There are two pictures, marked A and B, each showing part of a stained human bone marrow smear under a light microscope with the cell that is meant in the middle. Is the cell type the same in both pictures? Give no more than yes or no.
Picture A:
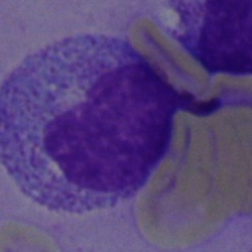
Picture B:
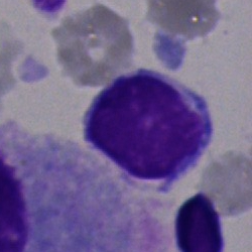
no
